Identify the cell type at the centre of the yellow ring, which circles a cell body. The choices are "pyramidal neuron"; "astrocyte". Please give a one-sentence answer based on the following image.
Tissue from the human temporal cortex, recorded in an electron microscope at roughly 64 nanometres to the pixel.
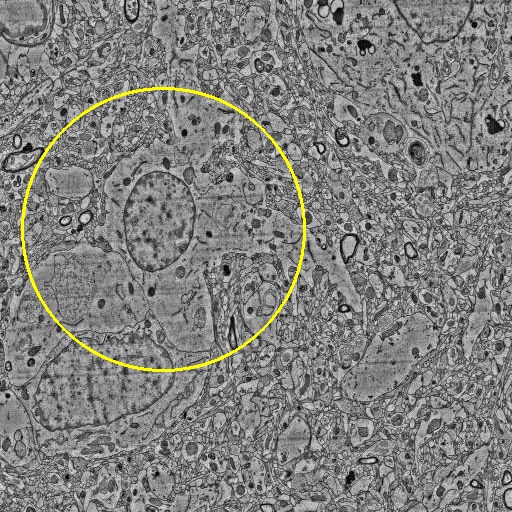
The cell marked by the ring is an astrocyte.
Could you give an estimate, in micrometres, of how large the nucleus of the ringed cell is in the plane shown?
The nucleus works out at approximately 6 by 5 micrometres in this plane.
